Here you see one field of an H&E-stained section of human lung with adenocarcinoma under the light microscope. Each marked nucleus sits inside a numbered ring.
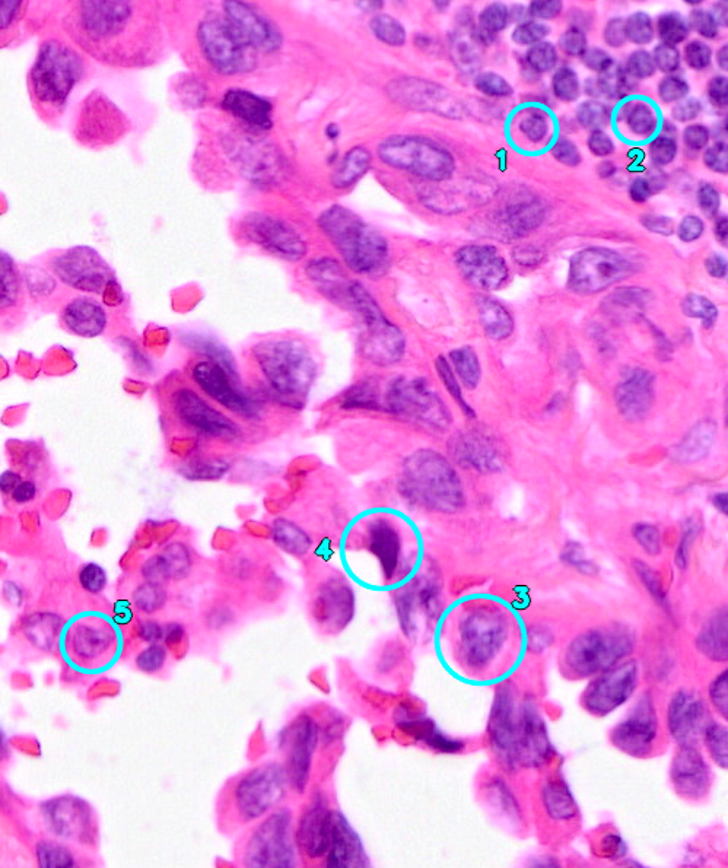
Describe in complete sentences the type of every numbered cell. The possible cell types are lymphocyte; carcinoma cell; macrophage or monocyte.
Cells 1 and 2 are lymphocytes. Cells 3 and 4 are carcinoma cells. Cell 5 is a macrophage or monocyte.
